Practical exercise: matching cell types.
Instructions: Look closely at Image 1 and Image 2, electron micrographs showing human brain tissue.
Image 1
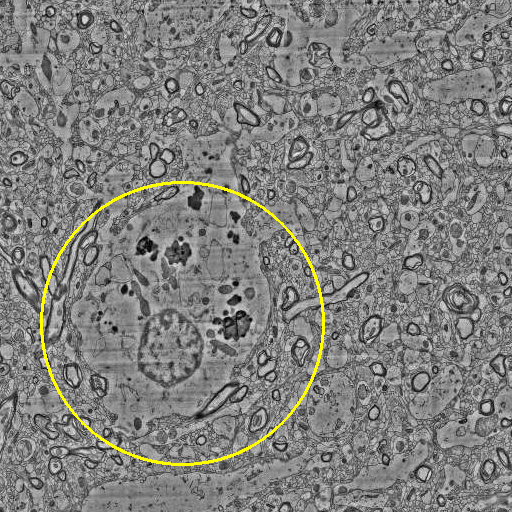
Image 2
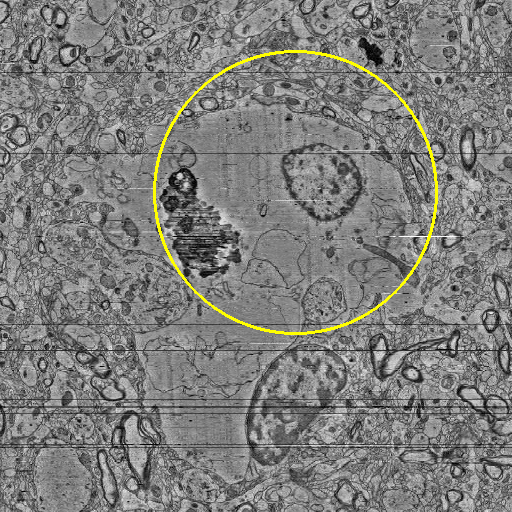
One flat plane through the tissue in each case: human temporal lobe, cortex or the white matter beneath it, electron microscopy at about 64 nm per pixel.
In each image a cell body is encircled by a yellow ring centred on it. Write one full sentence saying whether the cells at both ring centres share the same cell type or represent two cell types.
Across Image 1 and Image 2, the cells at the ring centres share the same cell type.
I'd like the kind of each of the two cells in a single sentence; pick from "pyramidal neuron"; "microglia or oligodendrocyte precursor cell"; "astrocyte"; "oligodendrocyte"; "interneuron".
In each picture the ringed cell is an astrocyte.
